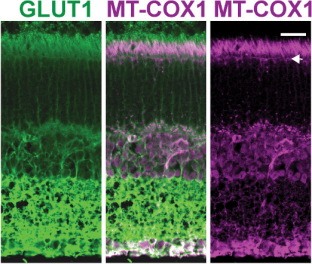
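This cross-section of retina runs from the photoreceptor segments at the top to the ganglion cell layer at the bottom. Green labels a band at the photoreceptor segments, thin radial strands crossing the outer nuclear layer, the outer plexiform layer and, most strongly, the inner plexiform and ganglion cell layers. Fainter magenta dots and rings are scattered through the inner layers.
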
